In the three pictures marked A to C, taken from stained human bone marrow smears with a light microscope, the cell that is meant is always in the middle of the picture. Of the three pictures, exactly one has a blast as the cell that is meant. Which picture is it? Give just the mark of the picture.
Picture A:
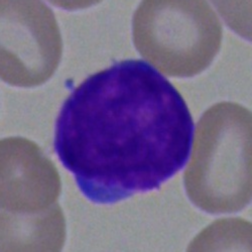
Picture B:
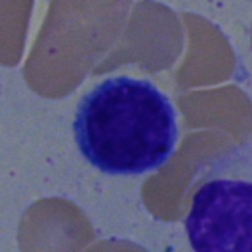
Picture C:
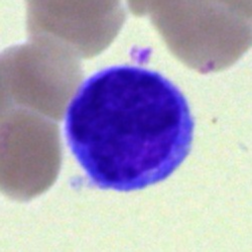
A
